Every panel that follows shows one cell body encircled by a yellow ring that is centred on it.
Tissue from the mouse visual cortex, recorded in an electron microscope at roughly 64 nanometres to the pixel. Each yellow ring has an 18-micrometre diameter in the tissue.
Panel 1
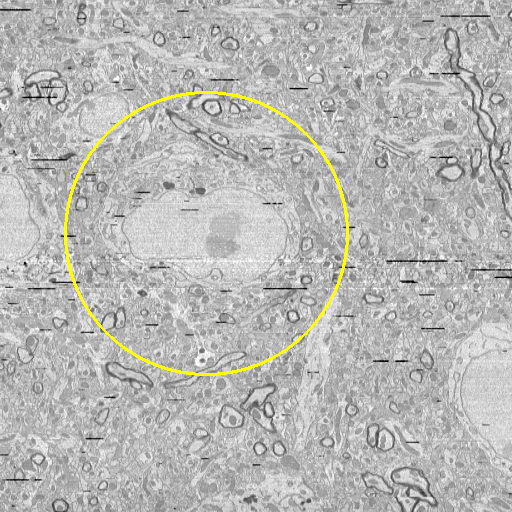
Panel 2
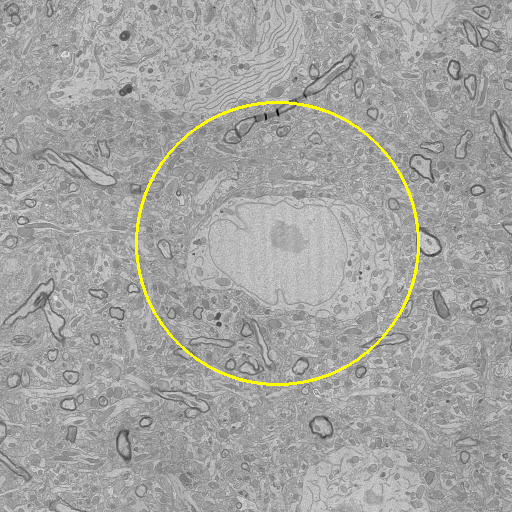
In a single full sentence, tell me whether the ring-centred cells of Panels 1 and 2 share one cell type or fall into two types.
In Panel 1 and Panel 2, the cells at the ring centres fall into two types.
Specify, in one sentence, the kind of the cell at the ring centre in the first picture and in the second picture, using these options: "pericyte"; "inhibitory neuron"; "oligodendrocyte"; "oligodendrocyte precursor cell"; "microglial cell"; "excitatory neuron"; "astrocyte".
So the first is an inhibitory neuron, the second an excitatory neuron.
